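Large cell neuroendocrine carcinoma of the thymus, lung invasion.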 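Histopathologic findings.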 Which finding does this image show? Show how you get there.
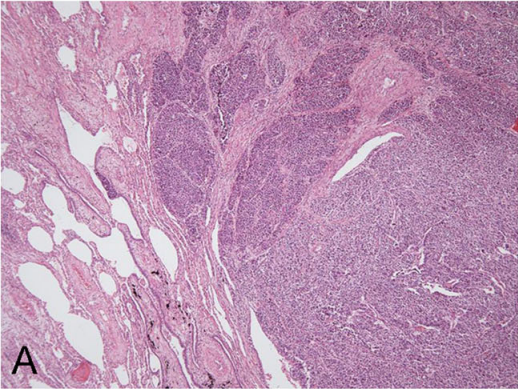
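Dense purple nests and sheets of cells fill the right side of the panel. The cell nests are separated by pink fibrous bands. At the left edge the cellular mass borders loose tissue with open spaces.
Hence: Atypical cell nests.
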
